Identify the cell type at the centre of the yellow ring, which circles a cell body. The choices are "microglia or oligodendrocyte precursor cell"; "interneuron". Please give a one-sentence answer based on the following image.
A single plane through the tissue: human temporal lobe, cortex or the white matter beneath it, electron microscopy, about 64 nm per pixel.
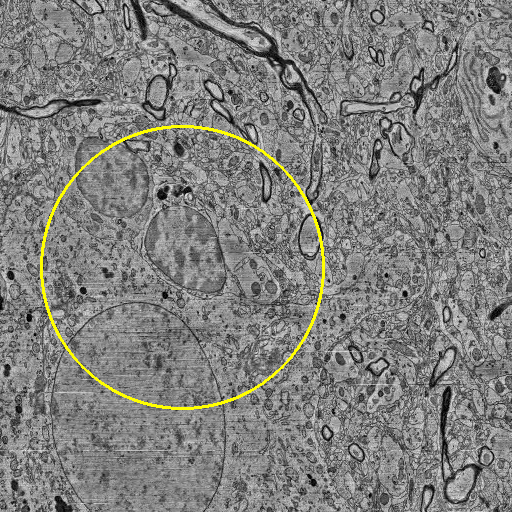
The cell marked by the ring is a microglial cell or oligodendrocyte precursor cell.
